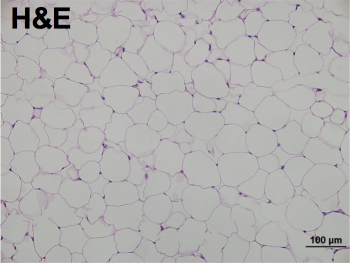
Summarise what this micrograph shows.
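Large, clear, polygonal fat cells of fairly even size fill the whole field, packed side by side like a honeycomb. Each is outlined by a thin pink rim, and only a few small flattened nuclei sit at the cell edges. There are almost no other cells between them. This is normal white adipose tissue made of adipocytes.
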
